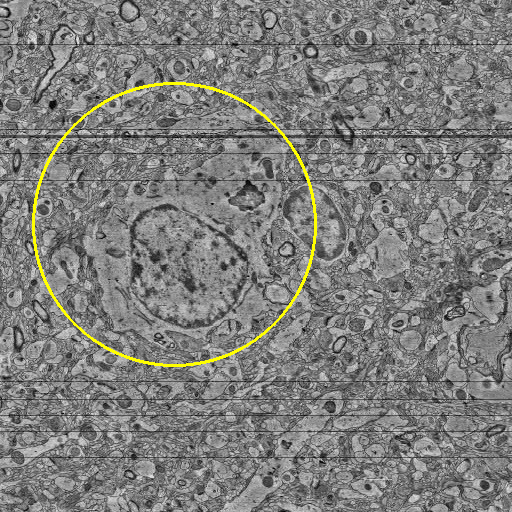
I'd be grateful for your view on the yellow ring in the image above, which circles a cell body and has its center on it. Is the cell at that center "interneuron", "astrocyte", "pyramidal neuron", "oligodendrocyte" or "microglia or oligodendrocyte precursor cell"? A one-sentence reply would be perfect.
The cell at the center of the yellow ring is an astrocyte.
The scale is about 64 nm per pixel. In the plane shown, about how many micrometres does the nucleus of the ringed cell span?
Roughly 8 by 7 micrometres in this plane, for the nucleus of the ringed cell.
